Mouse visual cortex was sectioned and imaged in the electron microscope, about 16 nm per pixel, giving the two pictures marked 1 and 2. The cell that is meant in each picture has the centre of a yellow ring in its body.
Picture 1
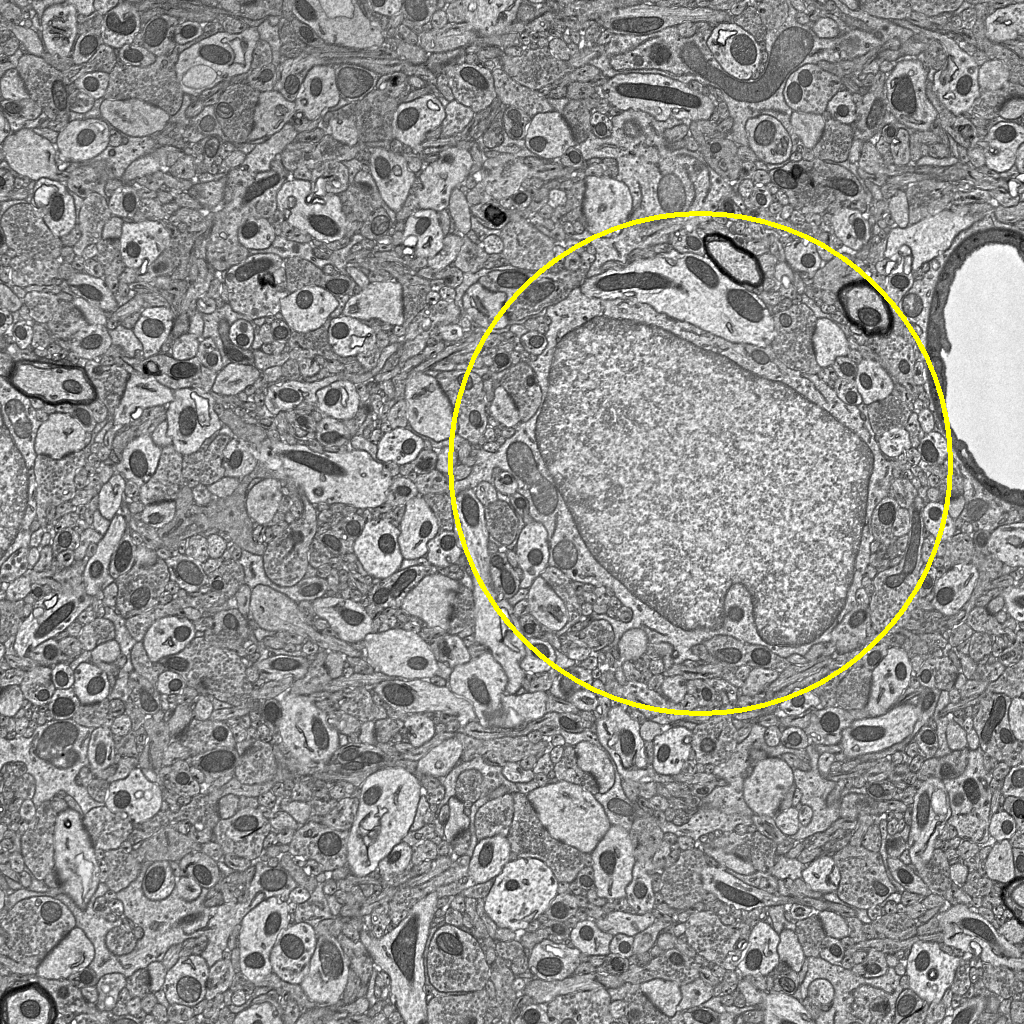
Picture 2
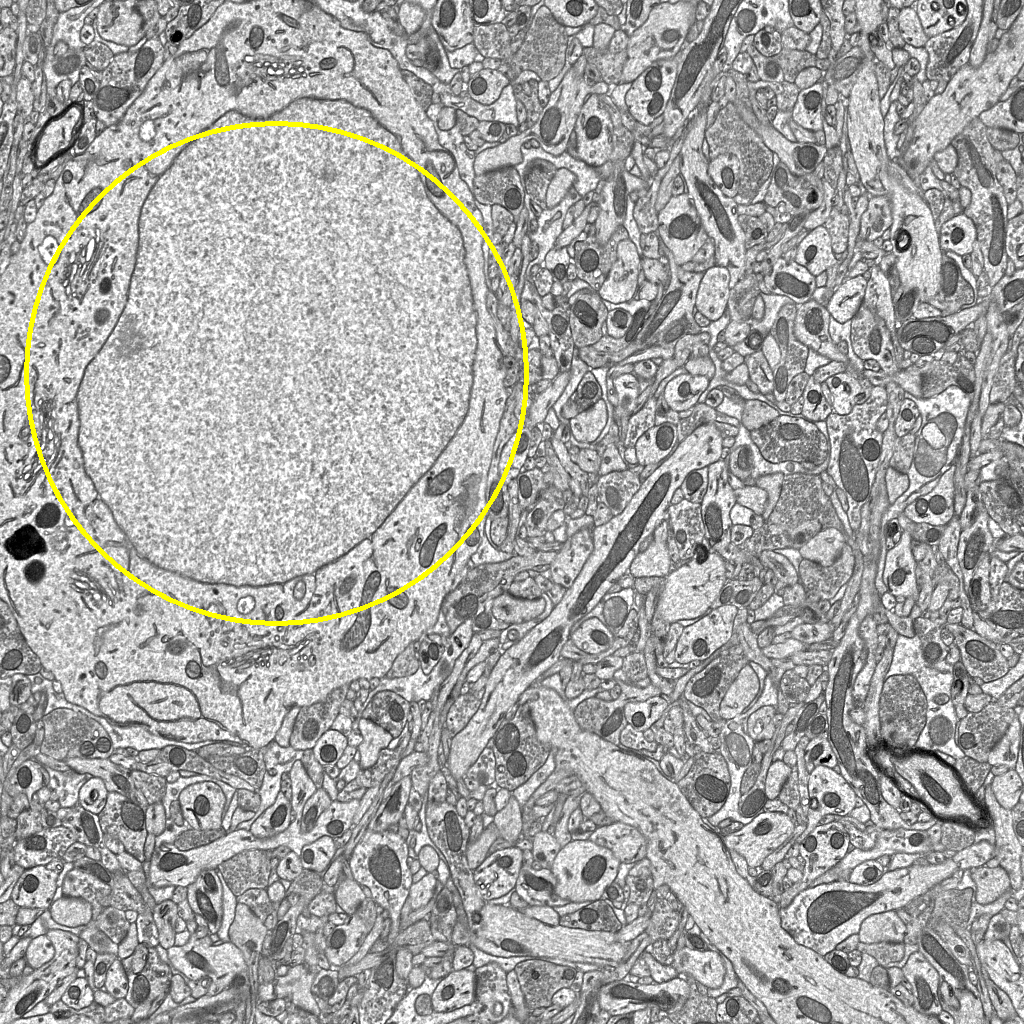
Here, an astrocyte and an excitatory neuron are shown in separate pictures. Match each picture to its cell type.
In picture 1 the cell is an astrocyte; in picture 2, an excitatory neuron.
